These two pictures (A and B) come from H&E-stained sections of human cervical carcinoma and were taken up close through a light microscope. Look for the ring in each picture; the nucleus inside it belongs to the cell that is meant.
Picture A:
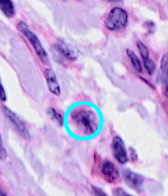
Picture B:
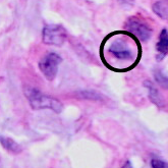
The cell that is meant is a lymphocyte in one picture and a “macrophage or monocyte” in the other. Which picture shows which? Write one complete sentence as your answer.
Picture A shows a “macrophage or monocyte” and picture B shows a lymphocyte.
